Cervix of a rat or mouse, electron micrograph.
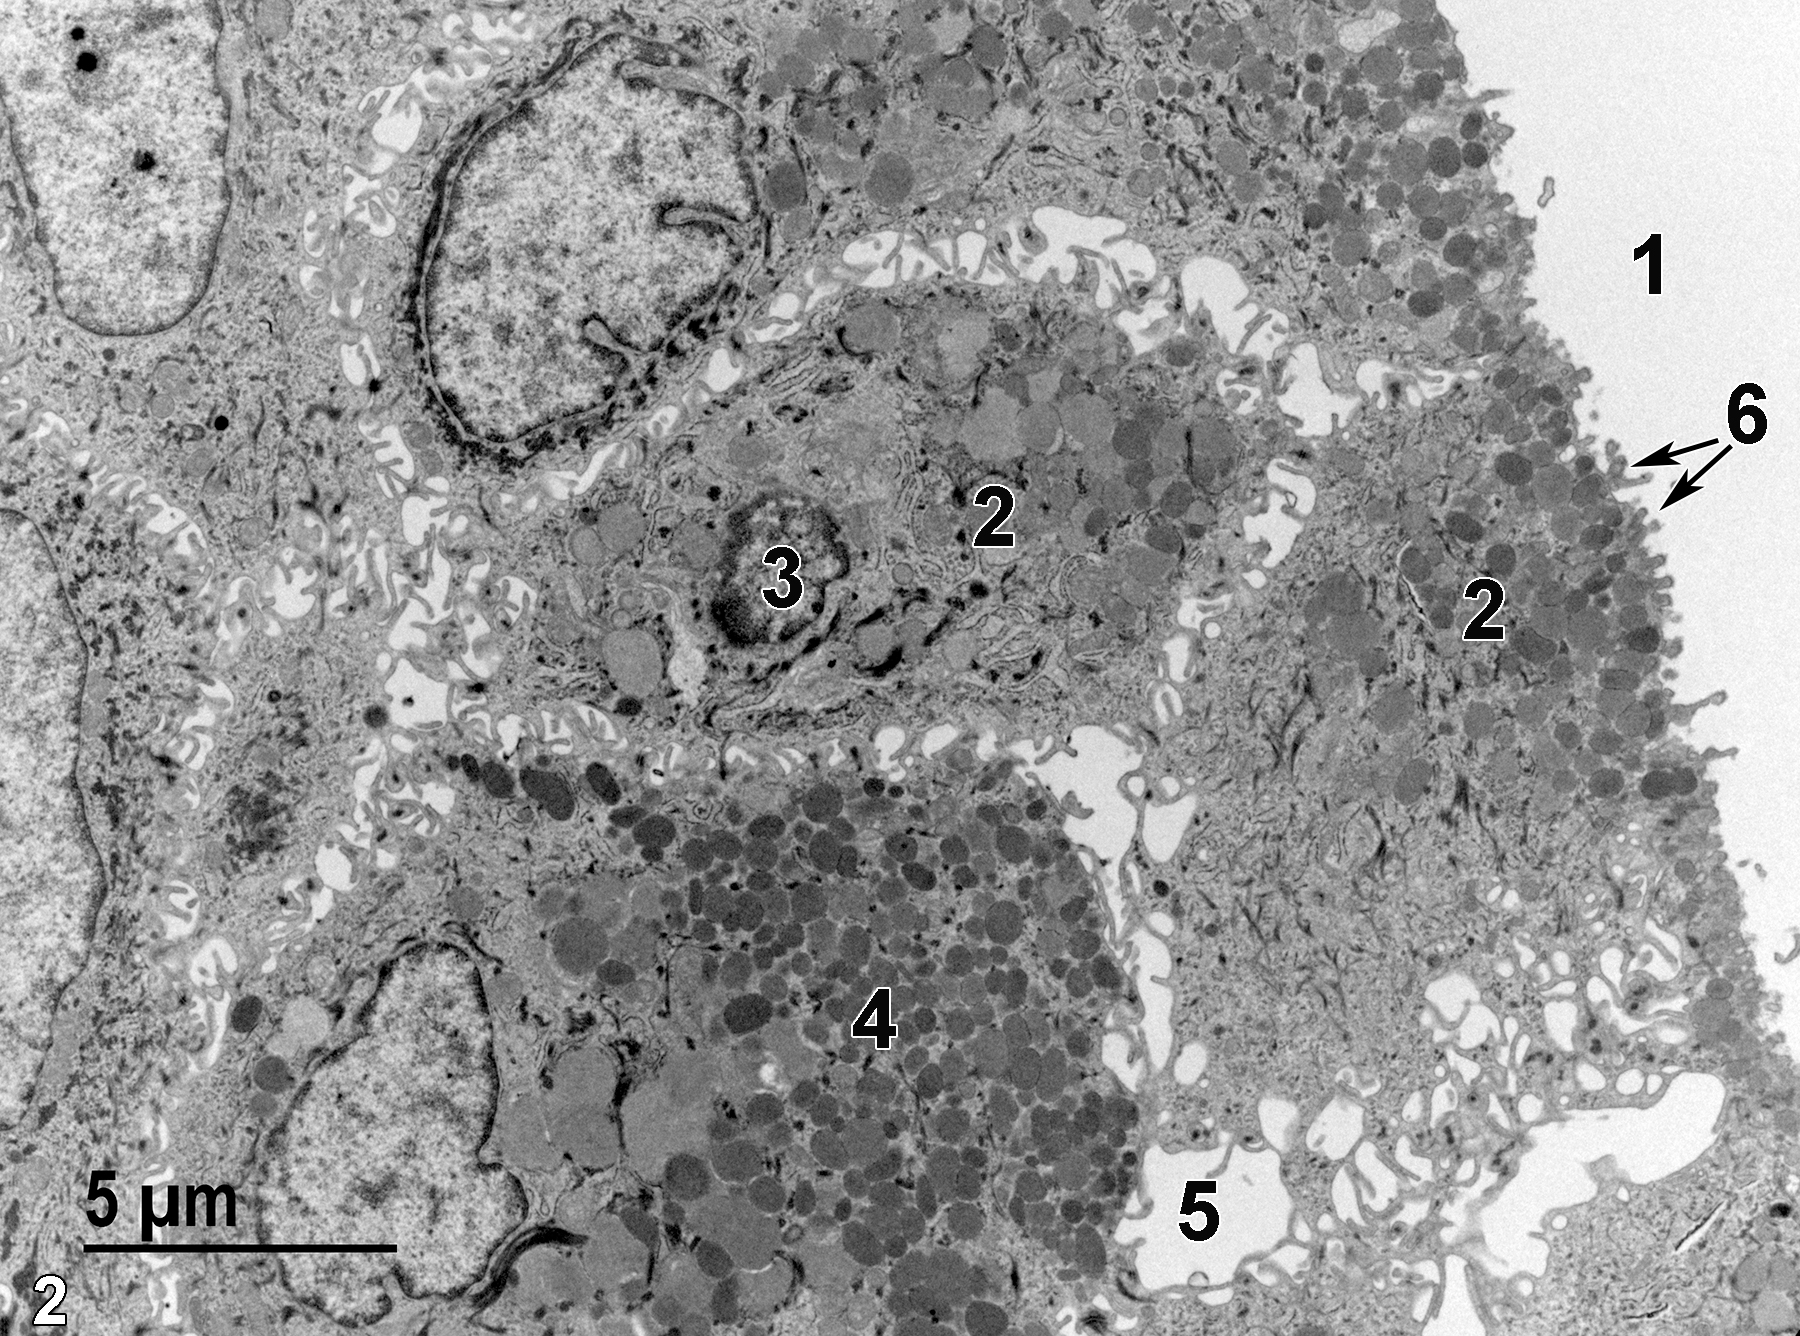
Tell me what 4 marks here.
Mucigen granules.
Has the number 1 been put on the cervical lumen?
Yes, 1 marks the cervical lumen.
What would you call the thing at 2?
Mucus cell.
